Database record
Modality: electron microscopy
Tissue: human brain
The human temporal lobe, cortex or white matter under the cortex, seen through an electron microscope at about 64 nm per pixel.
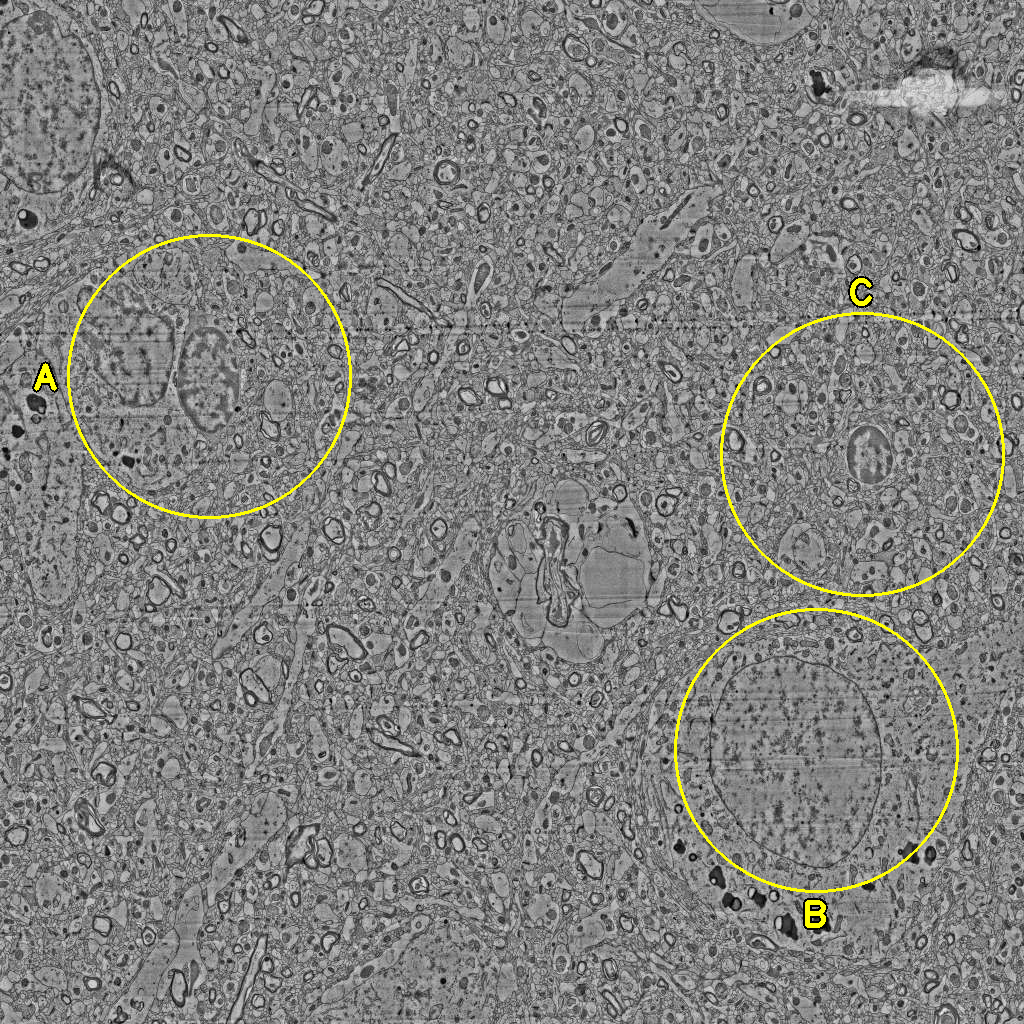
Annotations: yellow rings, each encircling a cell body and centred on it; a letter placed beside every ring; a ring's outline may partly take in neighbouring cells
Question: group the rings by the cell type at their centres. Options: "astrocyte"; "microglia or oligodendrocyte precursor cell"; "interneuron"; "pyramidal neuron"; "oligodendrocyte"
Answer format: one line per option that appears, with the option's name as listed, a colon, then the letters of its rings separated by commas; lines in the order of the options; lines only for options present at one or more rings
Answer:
microglia or oligodendrocyte precursor cell: C
pyramidal neuron: B
oligodendrocyte: A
